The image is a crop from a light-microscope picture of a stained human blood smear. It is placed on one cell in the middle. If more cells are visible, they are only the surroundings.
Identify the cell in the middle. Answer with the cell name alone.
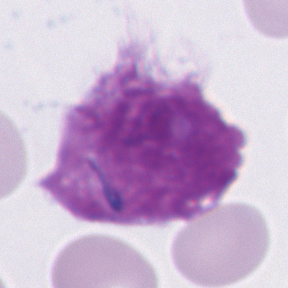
smudge cell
